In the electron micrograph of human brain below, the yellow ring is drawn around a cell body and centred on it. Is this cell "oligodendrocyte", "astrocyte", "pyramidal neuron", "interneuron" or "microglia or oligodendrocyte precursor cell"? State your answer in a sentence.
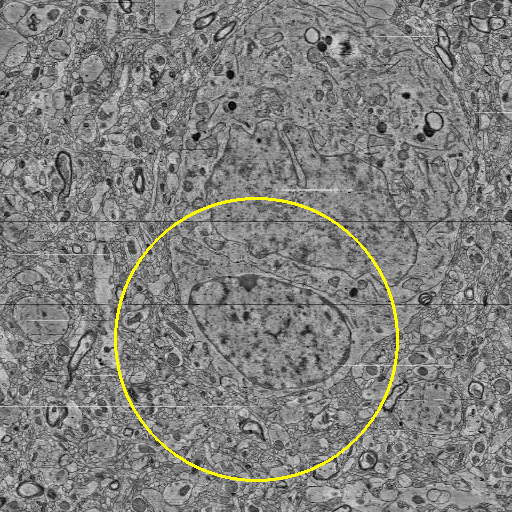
The cell in the middle of the ring is a microglial cell or oligodendrocyte precursor cell.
